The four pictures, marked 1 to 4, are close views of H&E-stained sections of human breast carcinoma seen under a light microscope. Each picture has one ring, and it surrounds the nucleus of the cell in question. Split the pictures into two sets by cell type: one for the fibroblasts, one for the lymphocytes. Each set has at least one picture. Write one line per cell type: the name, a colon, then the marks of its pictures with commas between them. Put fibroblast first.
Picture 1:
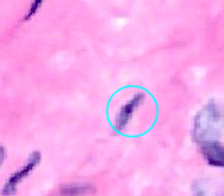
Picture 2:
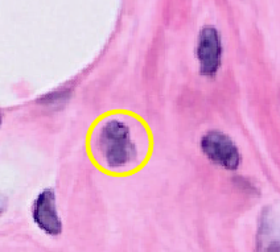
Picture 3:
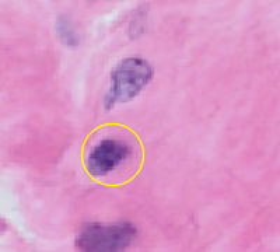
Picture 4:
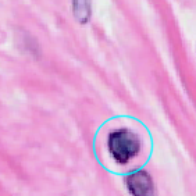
fibroblast: 1
lymphocyte: 2, 3, 4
